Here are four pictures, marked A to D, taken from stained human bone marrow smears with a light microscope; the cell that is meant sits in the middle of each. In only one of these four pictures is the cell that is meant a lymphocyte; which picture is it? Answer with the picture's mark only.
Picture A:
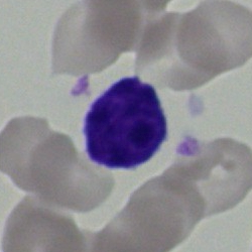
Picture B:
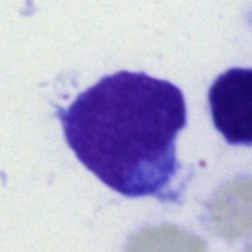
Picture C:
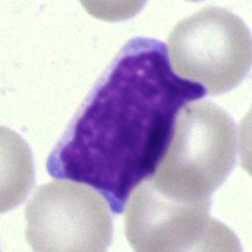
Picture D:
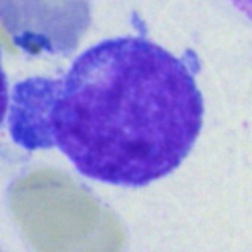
A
